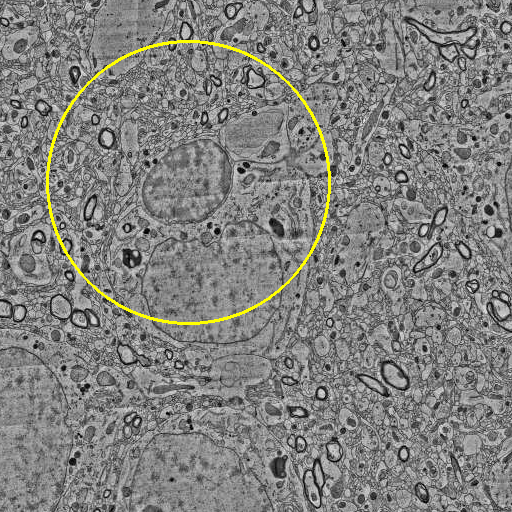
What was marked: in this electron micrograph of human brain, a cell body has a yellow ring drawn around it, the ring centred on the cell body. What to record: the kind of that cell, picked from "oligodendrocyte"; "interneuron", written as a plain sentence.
The centred cell is an oligodendrocyte.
